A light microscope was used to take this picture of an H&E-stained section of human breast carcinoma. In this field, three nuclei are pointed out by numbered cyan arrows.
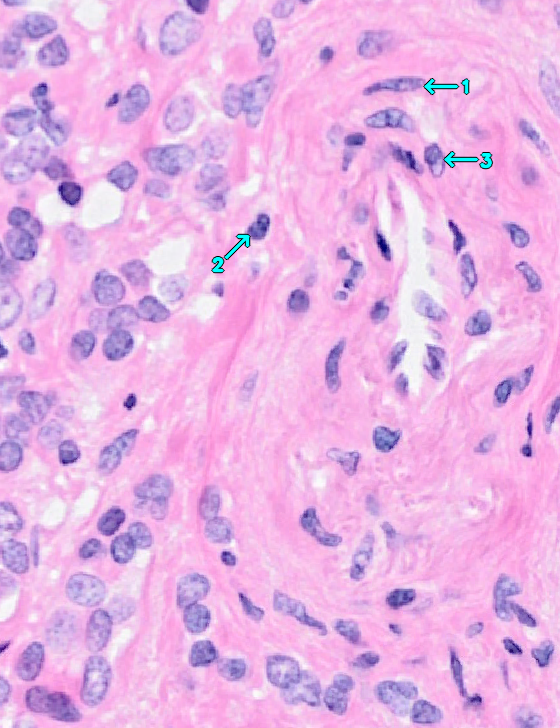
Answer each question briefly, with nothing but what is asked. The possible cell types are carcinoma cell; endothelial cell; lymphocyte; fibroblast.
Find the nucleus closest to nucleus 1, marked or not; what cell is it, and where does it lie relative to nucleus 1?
an endothelial cell below nucleus 1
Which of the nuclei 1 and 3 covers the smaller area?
3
